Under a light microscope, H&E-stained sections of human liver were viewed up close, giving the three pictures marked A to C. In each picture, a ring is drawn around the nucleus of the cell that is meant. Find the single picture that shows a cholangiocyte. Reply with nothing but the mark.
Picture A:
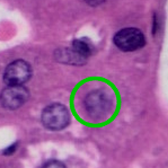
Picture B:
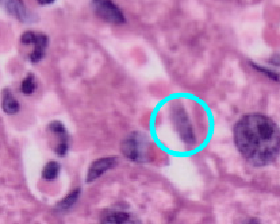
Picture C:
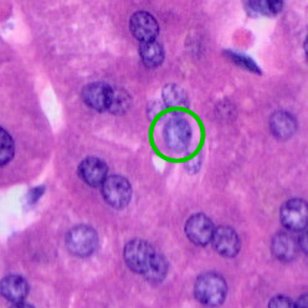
C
